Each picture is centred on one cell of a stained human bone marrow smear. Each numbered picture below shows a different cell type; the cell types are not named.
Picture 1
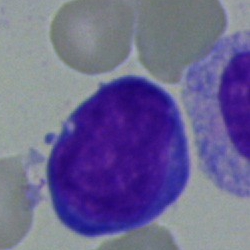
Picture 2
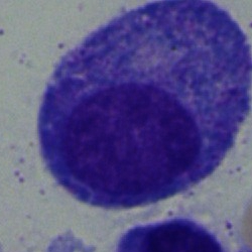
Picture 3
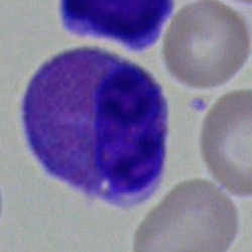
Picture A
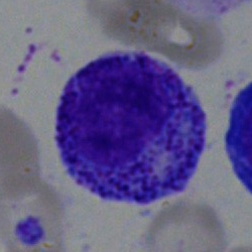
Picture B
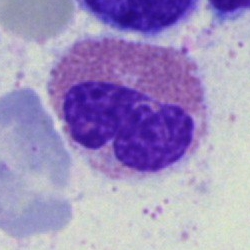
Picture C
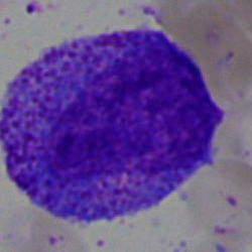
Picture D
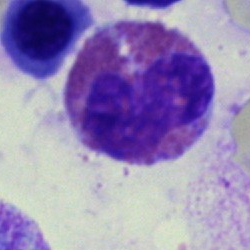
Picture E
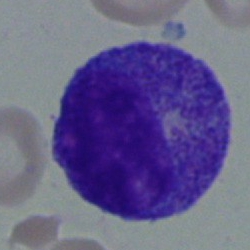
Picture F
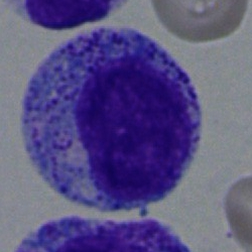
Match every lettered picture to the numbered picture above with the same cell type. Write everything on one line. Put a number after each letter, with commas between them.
A 2, B 3, C 2, D 3, E 2, F 2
